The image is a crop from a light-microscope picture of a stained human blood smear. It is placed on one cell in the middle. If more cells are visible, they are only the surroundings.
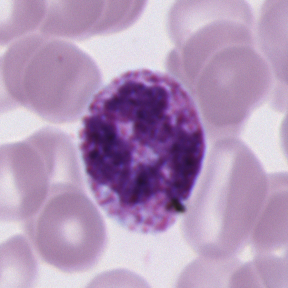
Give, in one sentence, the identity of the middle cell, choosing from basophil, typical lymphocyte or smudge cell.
The crop shows a basophil in its centre.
